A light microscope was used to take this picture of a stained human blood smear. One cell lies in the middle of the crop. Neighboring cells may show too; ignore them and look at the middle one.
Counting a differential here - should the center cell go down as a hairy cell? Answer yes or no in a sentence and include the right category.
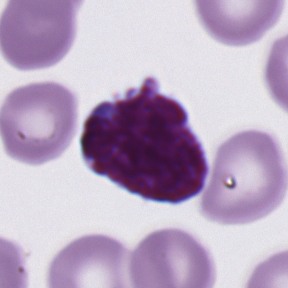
No, the cell positioned in the middle is a myeloblast, not a hairy cell.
